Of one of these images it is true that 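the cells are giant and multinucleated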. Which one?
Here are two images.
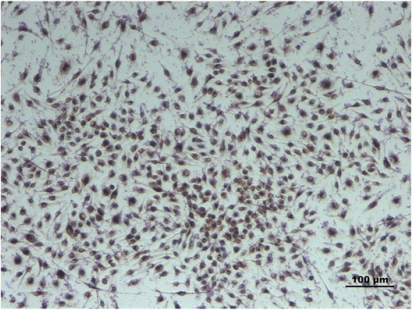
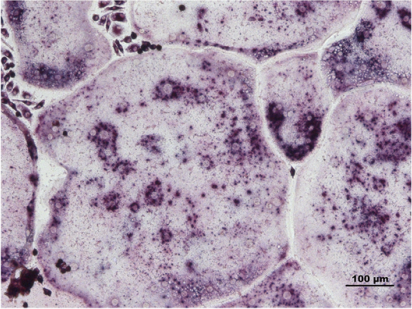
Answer: The second image.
